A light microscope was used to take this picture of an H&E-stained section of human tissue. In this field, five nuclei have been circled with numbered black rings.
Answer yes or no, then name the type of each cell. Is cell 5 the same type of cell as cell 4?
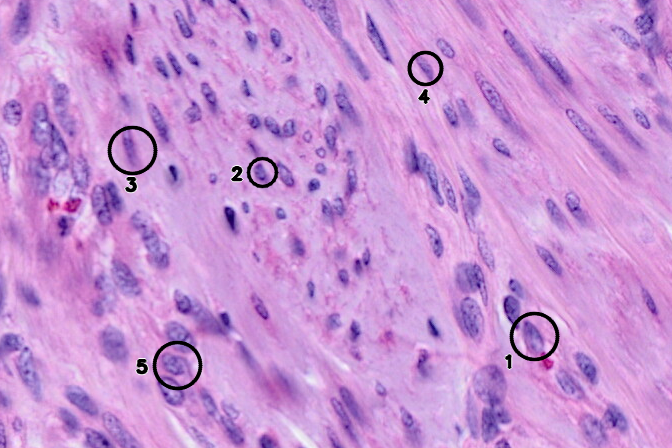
No, listen: cell 5 is an endothelial cell and cell 4 is a smooth muscle cell.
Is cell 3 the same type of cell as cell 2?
Yes, for cells 3 and 2 alike, the identity is that of smooth muscle cells.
